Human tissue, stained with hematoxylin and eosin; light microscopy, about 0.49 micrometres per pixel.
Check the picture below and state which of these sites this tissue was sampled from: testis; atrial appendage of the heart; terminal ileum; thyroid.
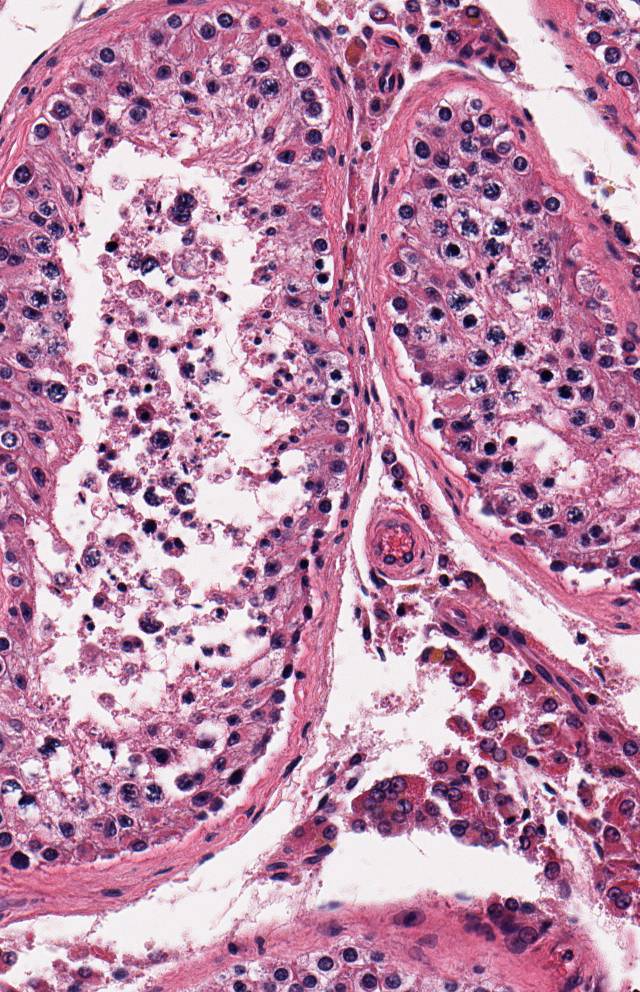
testis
